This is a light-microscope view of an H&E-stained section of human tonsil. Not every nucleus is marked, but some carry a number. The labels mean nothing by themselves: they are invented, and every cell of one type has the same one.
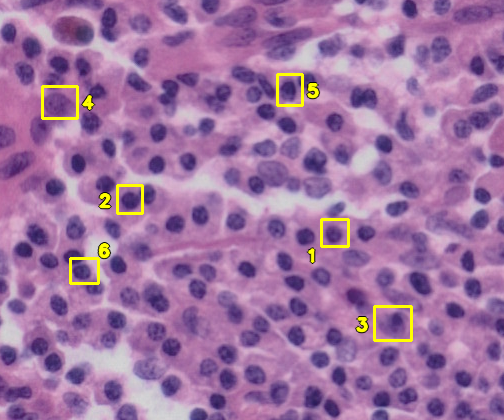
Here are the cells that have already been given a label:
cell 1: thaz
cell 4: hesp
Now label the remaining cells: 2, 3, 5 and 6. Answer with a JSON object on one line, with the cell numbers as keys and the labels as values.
{"2": "thaz", "3": "hesp", "5": "thaz", "6": "thaz"}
